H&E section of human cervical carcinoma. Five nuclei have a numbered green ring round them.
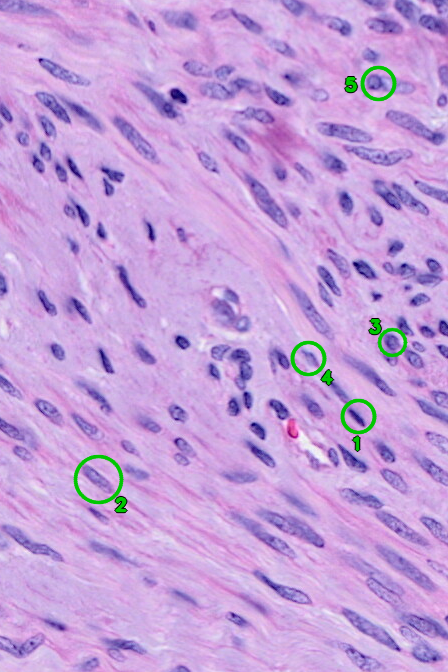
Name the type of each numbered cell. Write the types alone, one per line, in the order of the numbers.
fibroblast
smooth muscle cell
smooth muscle cell
fibroblast
smooth muscle cell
